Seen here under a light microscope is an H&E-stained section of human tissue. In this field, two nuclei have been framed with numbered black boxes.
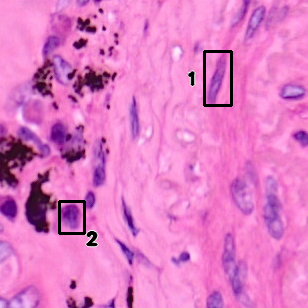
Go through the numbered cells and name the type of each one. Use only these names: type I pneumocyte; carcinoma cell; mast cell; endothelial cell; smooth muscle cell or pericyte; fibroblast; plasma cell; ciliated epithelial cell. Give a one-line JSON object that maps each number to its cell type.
{"1": "smooth muscle cell or pericyte", "2": "plasma cell"}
